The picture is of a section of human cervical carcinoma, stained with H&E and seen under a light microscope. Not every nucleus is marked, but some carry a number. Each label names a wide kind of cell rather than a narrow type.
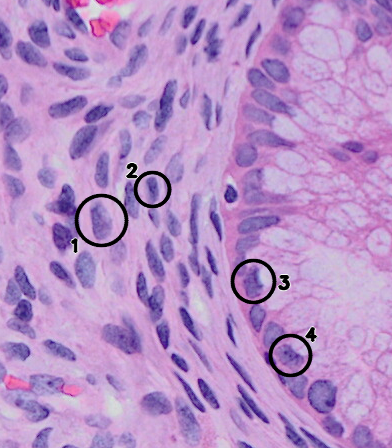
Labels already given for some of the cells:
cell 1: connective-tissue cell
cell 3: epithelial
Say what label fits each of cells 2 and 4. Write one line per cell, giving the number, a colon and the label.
2: connective-tissue cell
4: epithelial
